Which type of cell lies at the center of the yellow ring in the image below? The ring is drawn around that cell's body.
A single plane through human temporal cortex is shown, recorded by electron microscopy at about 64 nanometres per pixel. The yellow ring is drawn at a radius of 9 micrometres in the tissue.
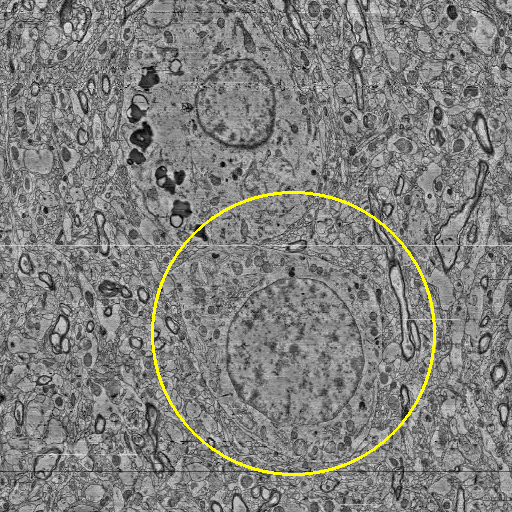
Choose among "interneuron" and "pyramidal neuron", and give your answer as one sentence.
The cell body at the center belongs to an interneuron.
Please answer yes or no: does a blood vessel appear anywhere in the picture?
No, no vessel appears in the picture.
